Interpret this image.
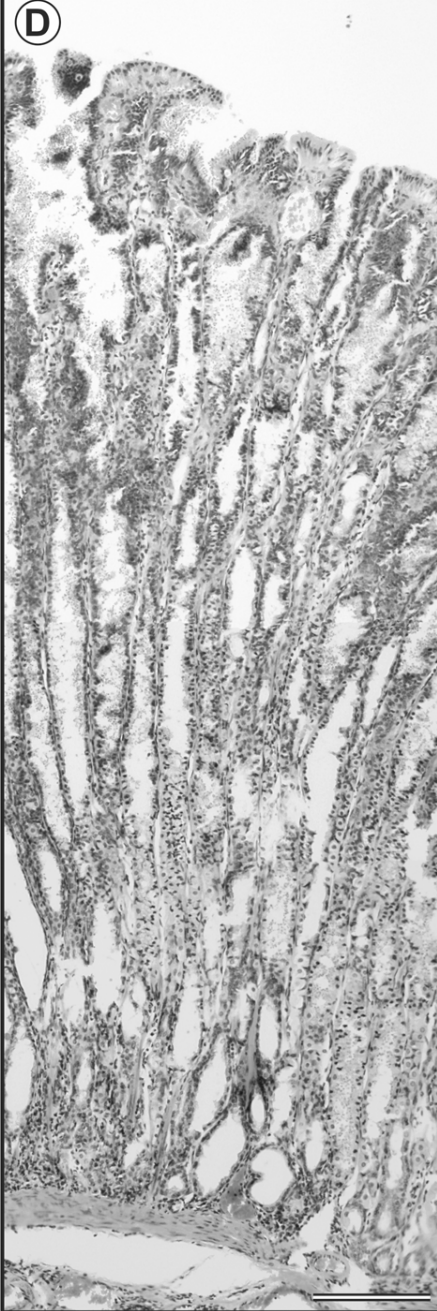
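This is a section of stomach wall in which the mucosa is extremely tall, made of long, narrow glands running from a thin muscle band at the bottom up to an irregular surface. Many glands are widened into elongated pale lumens, some containing faintly stippled material, and near the base several appear as rounded open spaces. Between the glands lies cell-rich tissue with many small dark nuclei. The surface epithelium is uneven, folded and partly broken into tufts projecting into the lumen. Together this appearance fits a markedly proliferated, thickened stomach mucosa.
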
